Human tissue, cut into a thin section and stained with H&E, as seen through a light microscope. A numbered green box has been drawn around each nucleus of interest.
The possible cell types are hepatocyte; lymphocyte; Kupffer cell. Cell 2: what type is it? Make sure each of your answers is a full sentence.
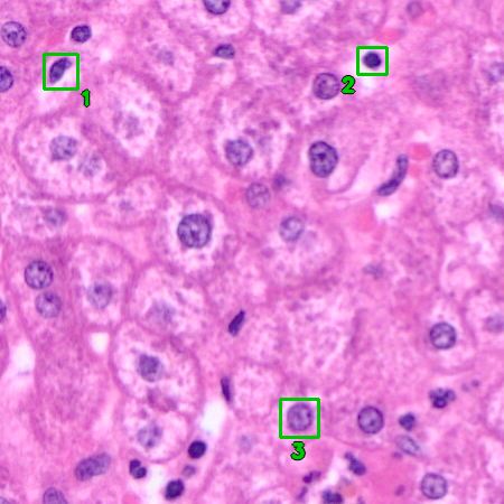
The cell with the number 2 is a lymphocyte.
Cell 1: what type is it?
The label 1 in this section denotes a lymphocyte.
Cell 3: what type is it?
The cell numbered 3 represents a hepatocyte.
